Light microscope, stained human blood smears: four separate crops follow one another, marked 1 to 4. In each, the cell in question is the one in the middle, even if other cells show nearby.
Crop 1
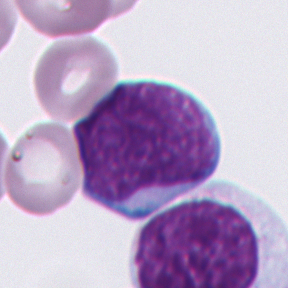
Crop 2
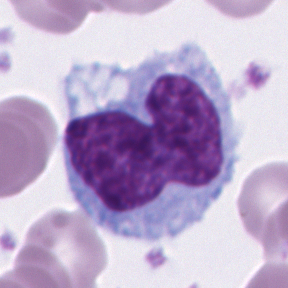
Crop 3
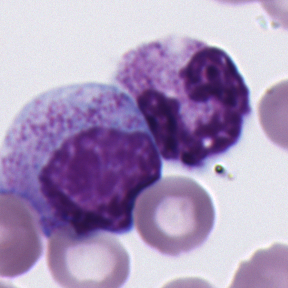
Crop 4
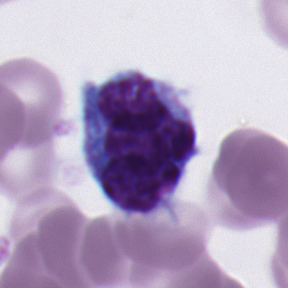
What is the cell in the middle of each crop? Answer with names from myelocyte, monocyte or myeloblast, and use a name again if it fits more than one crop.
1: myeloblast
2: monocyte
3: myelocyte
4: monocyte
